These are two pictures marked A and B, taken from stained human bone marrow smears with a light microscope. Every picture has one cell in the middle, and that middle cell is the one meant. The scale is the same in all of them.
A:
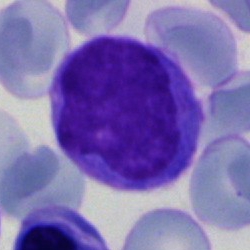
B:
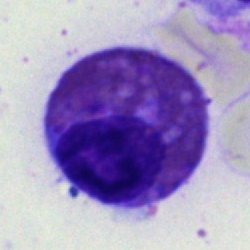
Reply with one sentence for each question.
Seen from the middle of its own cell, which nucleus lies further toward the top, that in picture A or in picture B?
It is the nucleus in picture A that lies further toward the top of its cell.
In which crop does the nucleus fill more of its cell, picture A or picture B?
Of the two, the nucleus in picture A makes up the greater part of its cell.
